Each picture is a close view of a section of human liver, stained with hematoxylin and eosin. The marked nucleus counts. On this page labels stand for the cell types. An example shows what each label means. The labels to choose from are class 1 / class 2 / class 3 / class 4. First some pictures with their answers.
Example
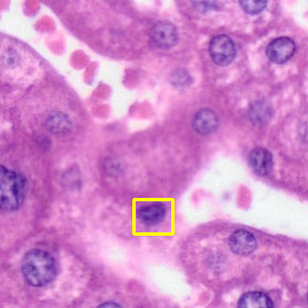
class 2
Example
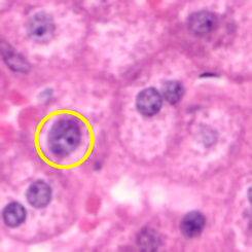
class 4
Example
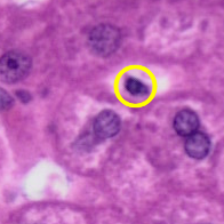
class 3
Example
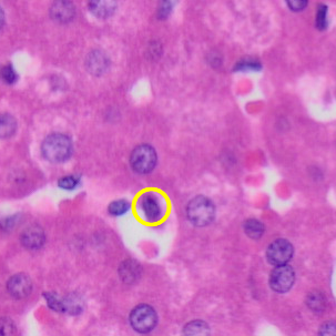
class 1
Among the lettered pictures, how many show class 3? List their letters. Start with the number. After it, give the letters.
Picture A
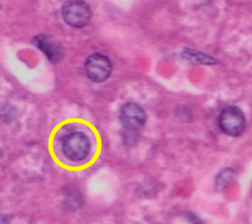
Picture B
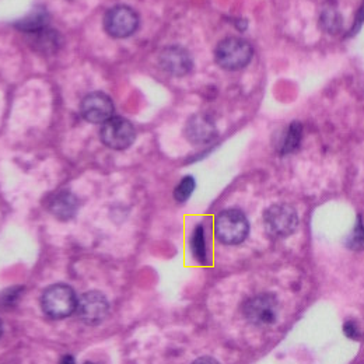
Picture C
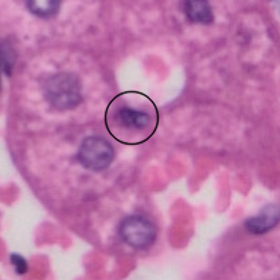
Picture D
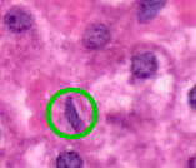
0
